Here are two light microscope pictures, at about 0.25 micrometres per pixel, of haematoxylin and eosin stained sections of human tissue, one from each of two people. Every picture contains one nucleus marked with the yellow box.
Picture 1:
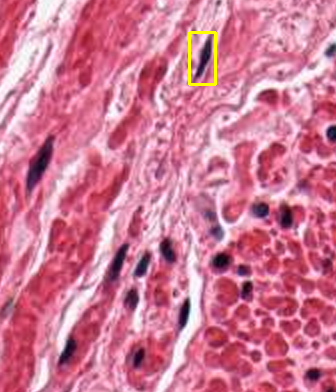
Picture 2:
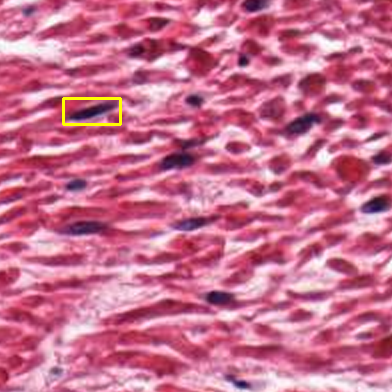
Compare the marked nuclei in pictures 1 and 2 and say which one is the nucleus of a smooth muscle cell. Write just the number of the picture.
2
